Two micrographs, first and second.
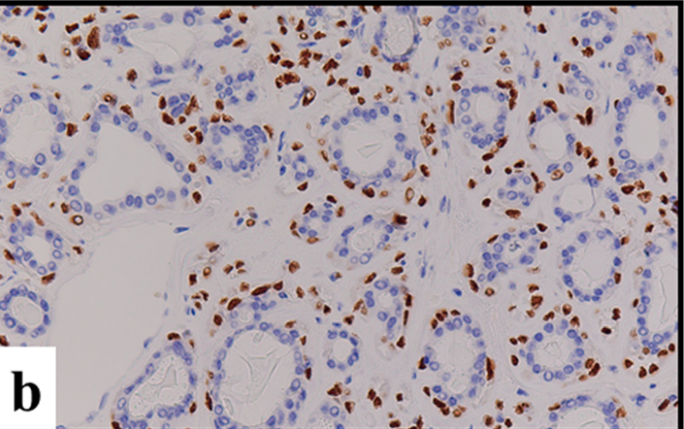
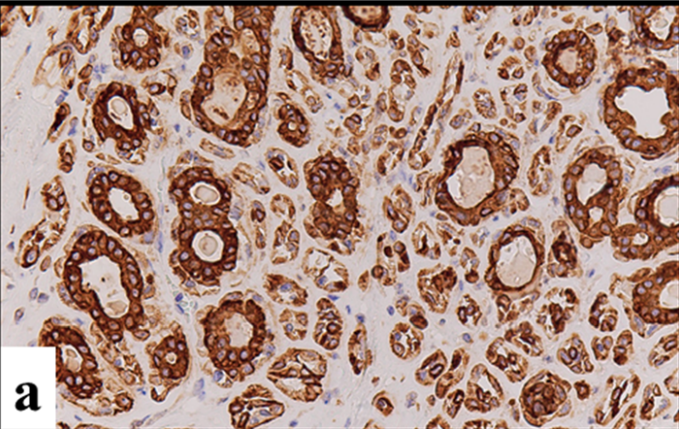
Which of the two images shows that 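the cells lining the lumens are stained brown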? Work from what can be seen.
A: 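The second image. First image: the cells lining the lumens have blue nuclei and no brown stain. Second image: the cells lining the lumens have strongly brown cytoplasm.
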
